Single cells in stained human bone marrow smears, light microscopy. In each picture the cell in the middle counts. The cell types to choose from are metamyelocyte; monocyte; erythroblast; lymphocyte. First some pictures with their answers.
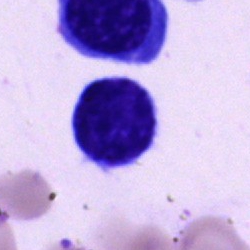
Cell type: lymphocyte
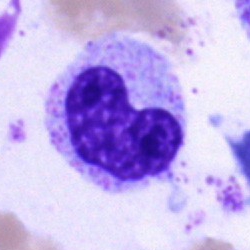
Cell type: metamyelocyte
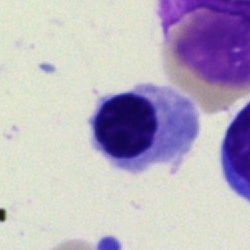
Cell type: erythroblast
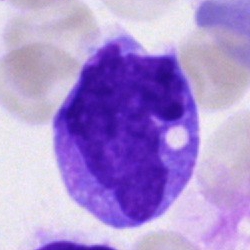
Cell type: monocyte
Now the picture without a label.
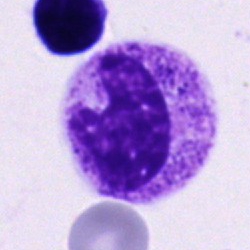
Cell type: metamyelocyte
